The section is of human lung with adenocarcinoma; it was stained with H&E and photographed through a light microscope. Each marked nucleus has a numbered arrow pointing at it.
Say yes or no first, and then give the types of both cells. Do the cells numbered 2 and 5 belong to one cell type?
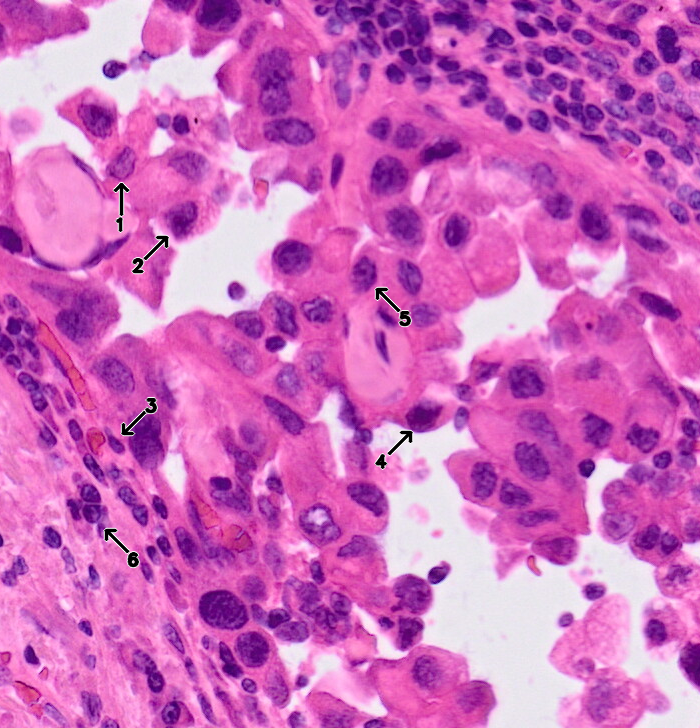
Yes, both are carcinoma cells.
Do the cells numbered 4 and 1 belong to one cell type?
Yes, both are carcinoma cells.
